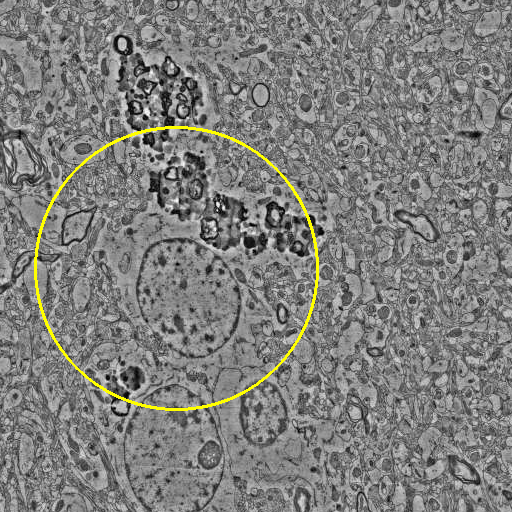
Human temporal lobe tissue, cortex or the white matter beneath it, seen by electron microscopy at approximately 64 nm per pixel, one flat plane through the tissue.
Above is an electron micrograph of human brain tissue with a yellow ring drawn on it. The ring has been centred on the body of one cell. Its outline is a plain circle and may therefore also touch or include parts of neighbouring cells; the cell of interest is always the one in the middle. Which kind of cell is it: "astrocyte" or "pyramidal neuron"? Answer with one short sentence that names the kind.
The ring's central cell body is that of an astrocyte.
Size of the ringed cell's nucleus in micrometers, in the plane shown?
In this plane the nucleus measures roughly 8 by 7 micrometers.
